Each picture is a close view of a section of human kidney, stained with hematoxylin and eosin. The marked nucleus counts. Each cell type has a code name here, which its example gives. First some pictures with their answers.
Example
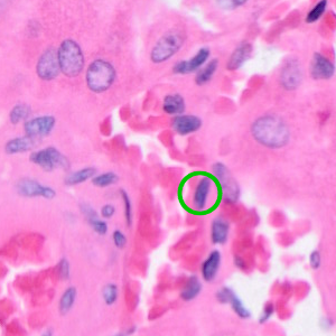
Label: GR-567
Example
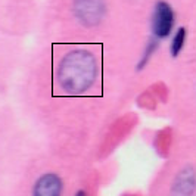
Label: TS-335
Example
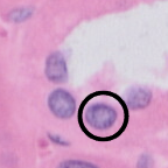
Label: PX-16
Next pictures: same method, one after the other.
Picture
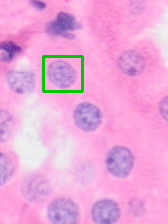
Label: PX-16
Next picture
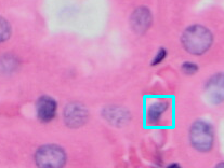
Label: GR-567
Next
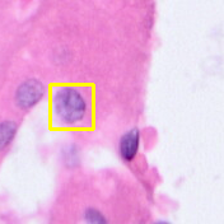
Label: PX-16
